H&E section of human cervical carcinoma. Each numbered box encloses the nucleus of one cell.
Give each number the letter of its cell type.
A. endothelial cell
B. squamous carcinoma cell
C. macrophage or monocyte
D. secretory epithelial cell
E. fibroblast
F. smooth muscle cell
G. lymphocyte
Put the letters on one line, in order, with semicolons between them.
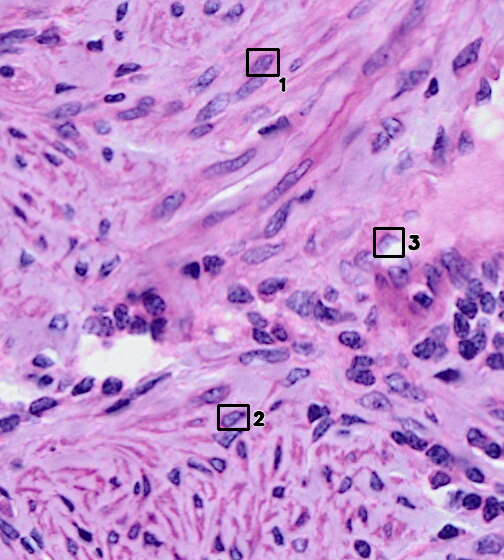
F; F; A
